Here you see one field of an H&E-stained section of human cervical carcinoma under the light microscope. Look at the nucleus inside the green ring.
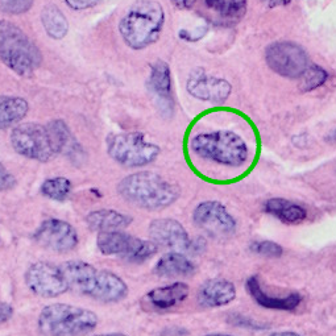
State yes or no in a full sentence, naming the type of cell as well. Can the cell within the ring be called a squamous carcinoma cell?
Yes, the statement that the cell within the ring is a squamous carcinoma cell is correct.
